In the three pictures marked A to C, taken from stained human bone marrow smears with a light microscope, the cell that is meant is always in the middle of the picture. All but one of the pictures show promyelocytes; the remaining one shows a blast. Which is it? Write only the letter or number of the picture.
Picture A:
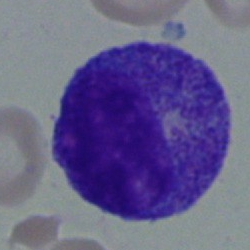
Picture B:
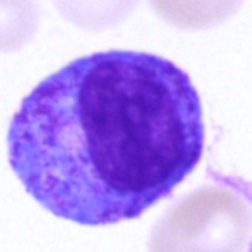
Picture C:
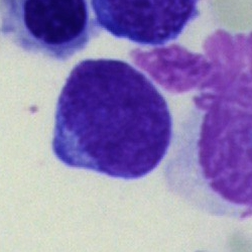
C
